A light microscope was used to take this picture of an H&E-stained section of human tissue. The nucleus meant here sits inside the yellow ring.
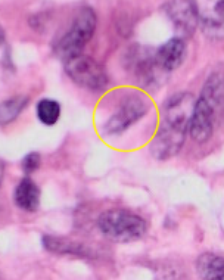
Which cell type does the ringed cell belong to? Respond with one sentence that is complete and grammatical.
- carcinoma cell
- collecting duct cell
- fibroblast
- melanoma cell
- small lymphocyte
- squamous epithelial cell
On this particular slide, the ringed cell is a melanoma cell.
